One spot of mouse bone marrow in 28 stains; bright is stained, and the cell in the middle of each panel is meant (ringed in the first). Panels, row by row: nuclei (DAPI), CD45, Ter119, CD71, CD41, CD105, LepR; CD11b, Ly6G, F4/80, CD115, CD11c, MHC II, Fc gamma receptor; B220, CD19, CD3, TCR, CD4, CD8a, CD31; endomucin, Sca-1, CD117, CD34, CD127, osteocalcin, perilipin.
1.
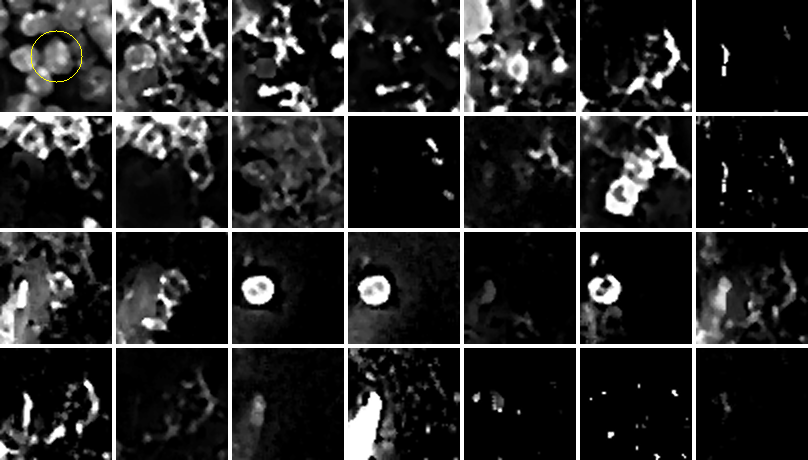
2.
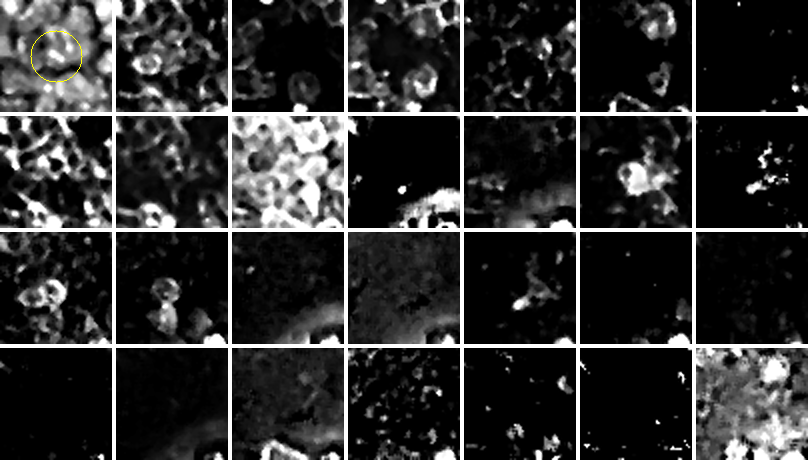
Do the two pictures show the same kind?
Yes, both are B cells.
